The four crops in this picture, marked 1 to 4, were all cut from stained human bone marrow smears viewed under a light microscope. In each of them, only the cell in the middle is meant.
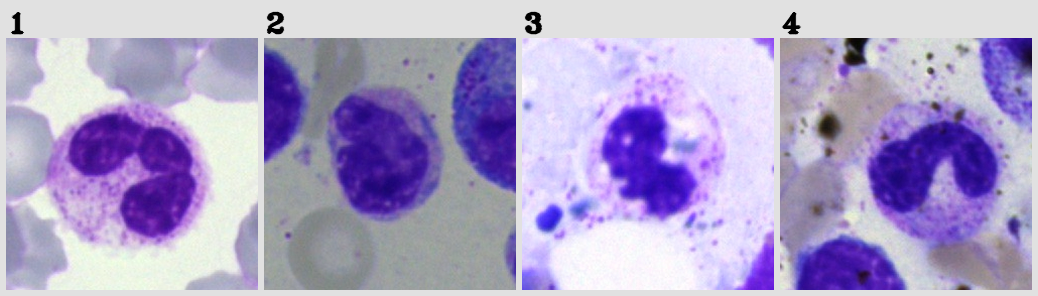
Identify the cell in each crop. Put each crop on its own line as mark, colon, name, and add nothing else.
1: segmented neutrophil
2: band neutrophil
3: segmented neutrophil
4: band neutrophil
